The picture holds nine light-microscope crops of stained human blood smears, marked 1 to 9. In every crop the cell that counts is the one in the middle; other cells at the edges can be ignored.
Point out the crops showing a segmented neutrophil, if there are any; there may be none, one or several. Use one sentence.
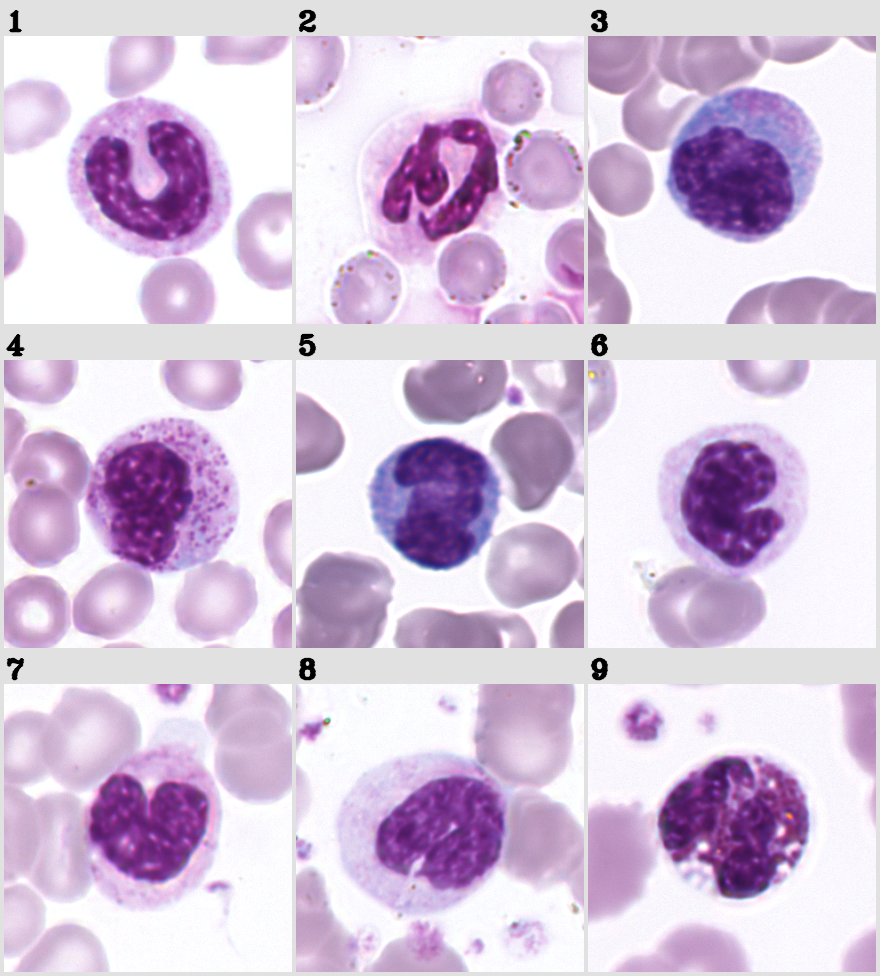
Of the crops given, a segmented neutrophil is shown by crop 2 alone.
